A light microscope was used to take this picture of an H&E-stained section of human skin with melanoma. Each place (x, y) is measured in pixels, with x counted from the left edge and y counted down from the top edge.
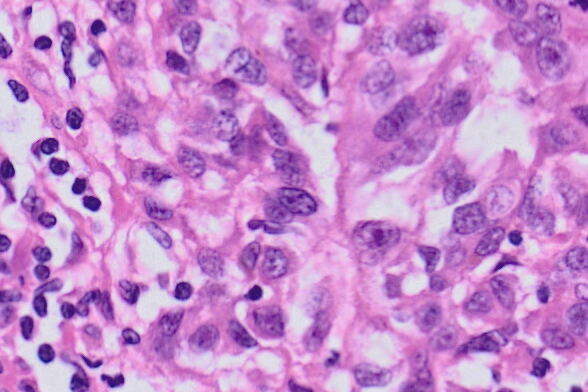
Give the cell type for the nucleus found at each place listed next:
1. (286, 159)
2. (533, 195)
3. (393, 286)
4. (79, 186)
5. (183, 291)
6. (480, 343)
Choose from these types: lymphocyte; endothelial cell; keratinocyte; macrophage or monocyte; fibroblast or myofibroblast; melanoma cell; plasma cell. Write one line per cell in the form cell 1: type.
cell 1: melanoma cell
cell 2: melanoma cell
cell 3: melanoma cell
cell 4: lymphocyte
cell 5: lymphocyte
cell 6: melanoma cell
